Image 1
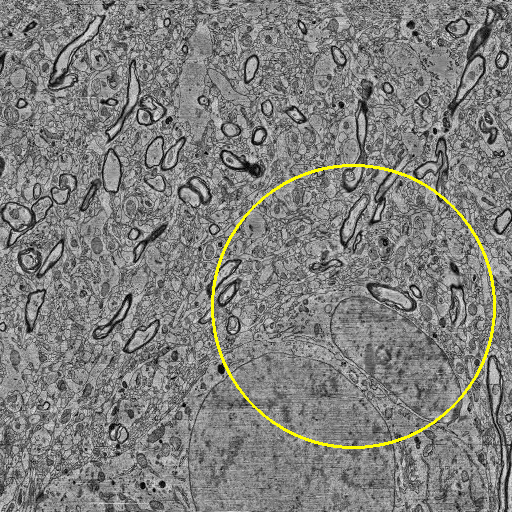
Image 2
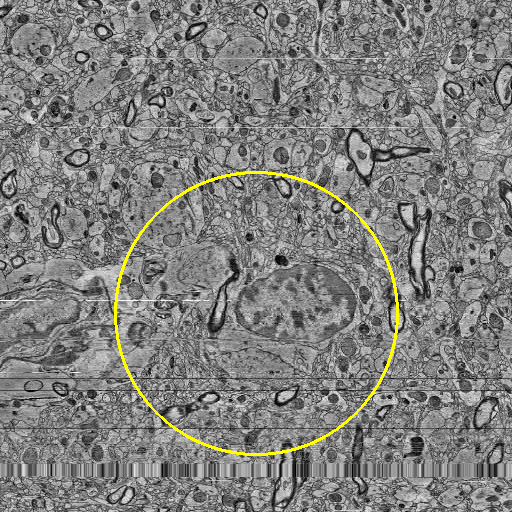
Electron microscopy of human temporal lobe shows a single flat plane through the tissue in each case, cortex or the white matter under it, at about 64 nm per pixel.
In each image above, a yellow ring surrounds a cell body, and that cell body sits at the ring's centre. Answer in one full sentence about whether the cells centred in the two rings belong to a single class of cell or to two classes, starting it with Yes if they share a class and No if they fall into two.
Yes, the cells centred in the two yellow rings belong to a single class of cell.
